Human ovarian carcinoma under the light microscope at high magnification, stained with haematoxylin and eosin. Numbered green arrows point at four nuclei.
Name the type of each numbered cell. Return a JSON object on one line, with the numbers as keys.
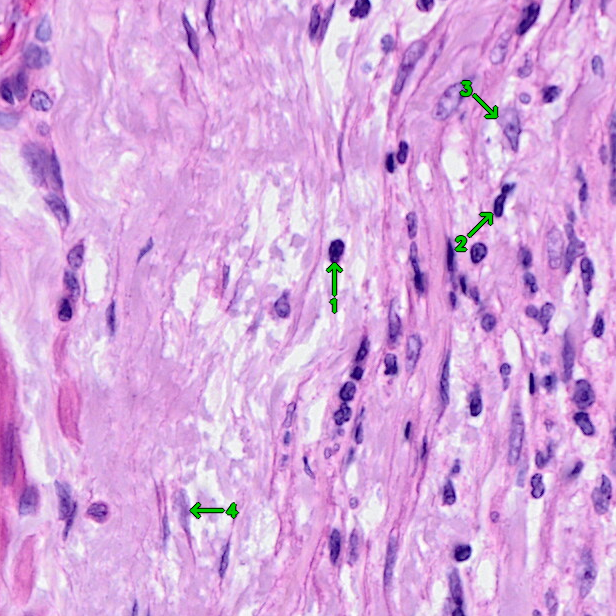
{"1": "lymphocyte", "2": "lymphocyte", "3": "fibroblast", "4": "fibroblast"}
